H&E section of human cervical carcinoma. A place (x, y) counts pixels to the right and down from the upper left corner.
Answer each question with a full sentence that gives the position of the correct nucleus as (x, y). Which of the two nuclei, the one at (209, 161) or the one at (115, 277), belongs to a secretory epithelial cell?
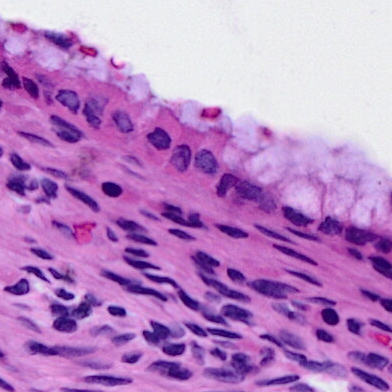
The nucleus found at (209, 161) belongs to a secretory epithelial cell.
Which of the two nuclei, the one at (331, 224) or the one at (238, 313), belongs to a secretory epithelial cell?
The nucleus at (331, 224) is housed in a secretory epithelial cell.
